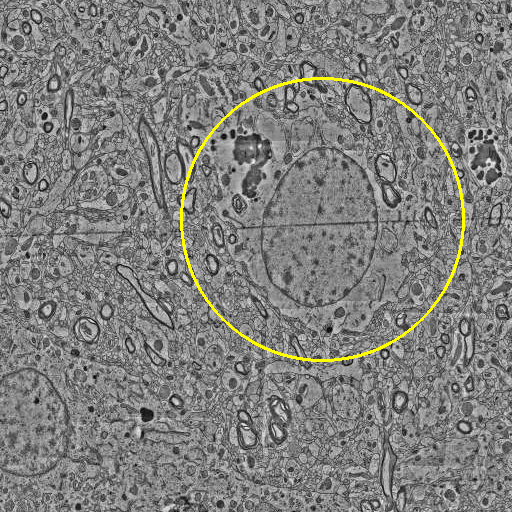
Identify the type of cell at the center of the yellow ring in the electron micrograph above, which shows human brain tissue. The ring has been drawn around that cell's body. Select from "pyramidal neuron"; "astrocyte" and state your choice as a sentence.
The yellow ring is centered on the body of an astrocyte.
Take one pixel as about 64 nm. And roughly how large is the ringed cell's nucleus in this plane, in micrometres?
In this plane, the nucleus is roughly 10 by 7 micrometres.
